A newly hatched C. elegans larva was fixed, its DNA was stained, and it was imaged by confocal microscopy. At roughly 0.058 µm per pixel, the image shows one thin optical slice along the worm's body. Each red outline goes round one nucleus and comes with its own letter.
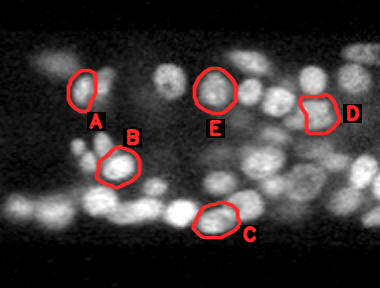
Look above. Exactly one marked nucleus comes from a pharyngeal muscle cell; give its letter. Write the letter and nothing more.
E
